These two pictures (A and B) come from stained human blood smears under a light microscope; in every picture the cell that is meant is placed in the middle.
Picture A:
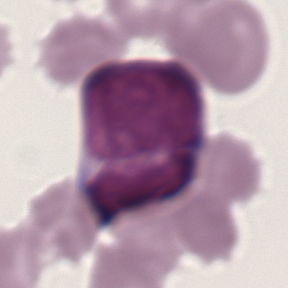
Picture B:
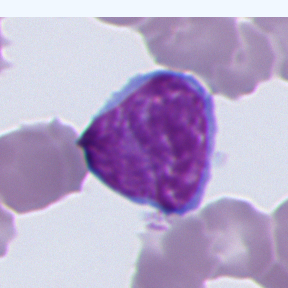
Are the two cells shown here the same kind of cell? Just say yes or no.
no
